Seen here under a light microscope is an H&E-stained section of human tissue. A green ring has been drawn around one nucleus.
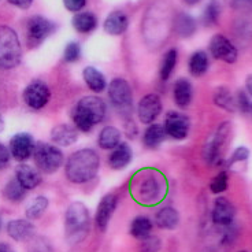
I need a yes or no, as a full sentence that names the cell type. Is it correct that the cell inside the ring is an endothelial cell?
Yes, an endothelial cell is what the cell inside the ring is in this section.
